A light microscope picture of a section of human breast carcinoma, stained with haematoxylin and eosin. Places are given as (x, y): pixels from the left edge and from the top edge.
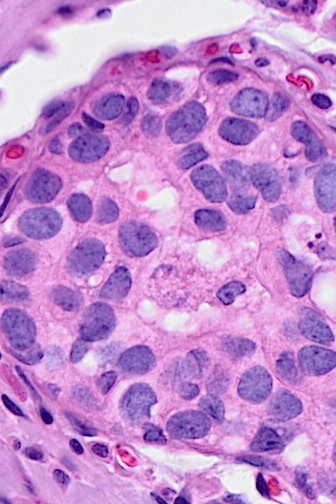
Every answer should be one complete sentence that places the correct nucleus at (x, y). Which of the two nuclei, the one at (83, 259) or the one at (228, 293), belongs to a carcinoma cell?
Of the pair, the nucleus positioned at (83, 259) is that of a carcinoma cell.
